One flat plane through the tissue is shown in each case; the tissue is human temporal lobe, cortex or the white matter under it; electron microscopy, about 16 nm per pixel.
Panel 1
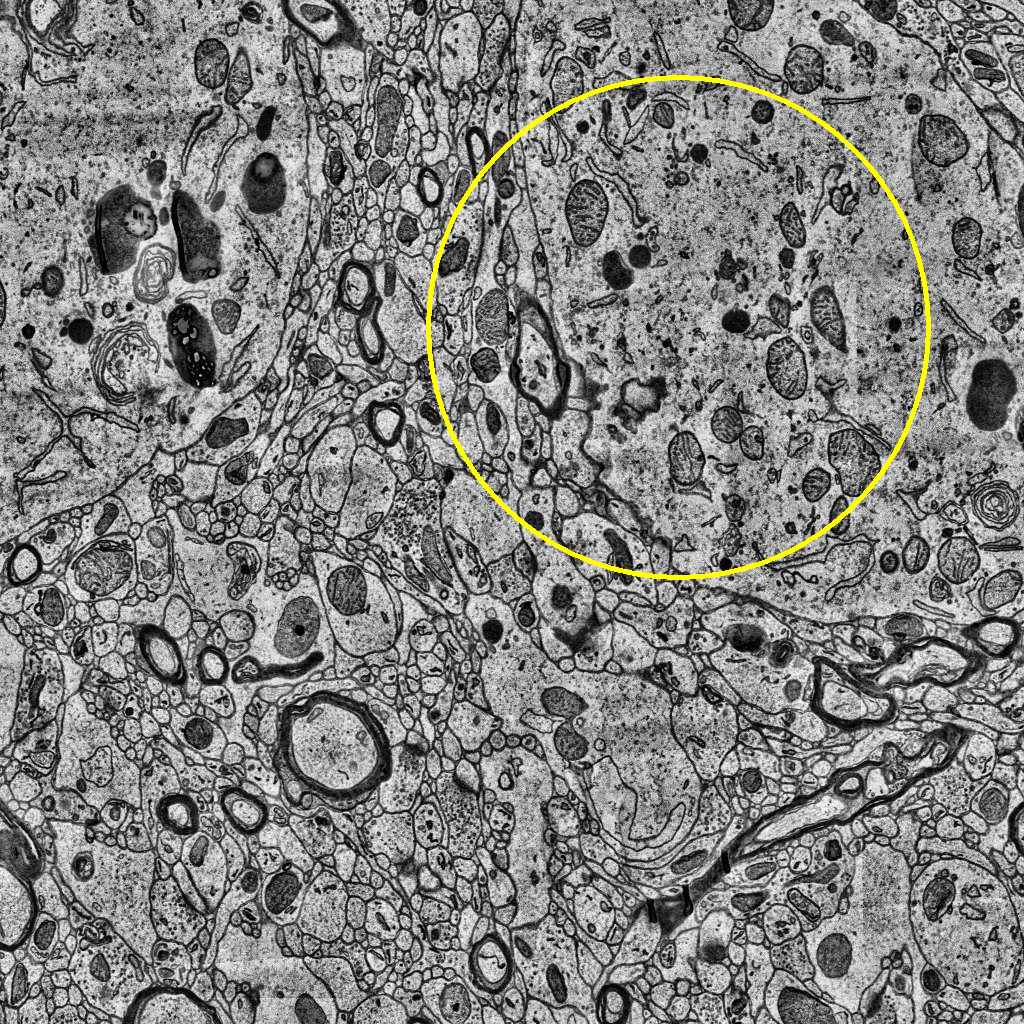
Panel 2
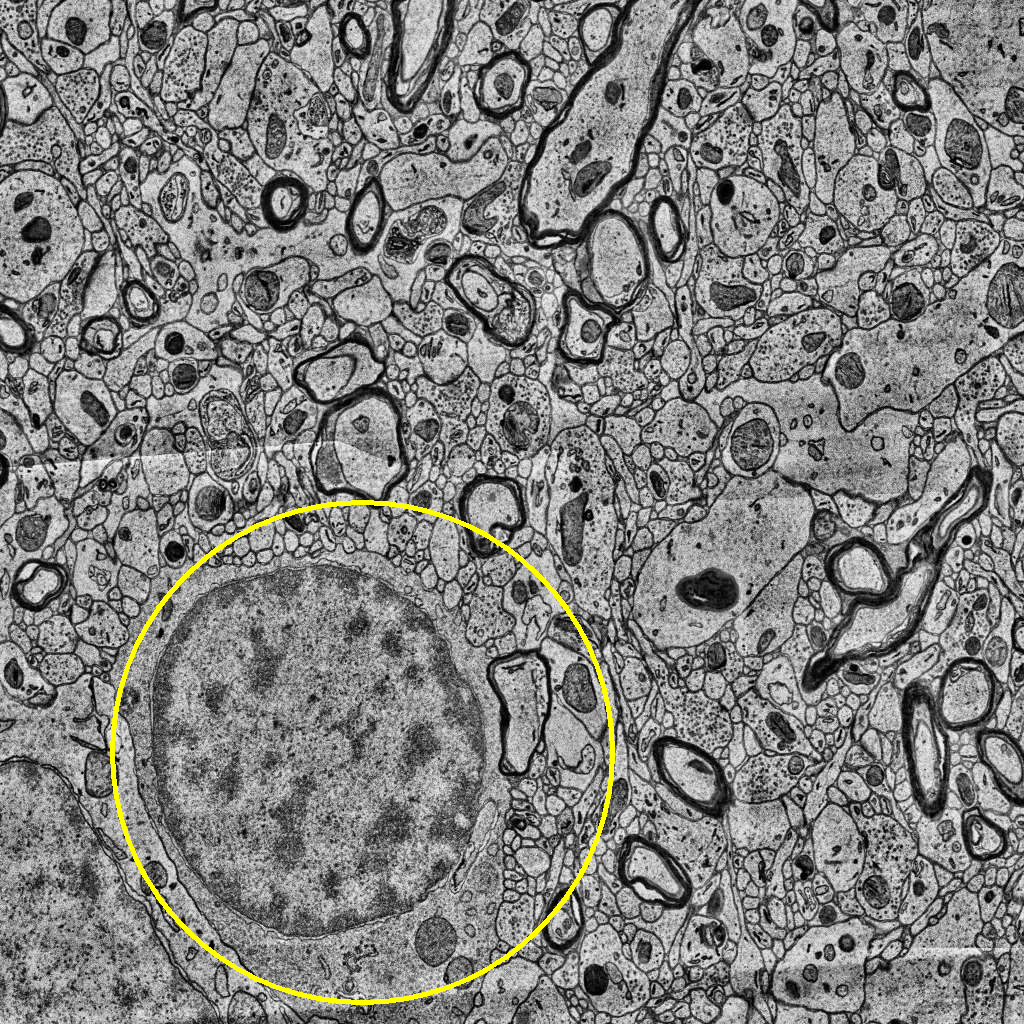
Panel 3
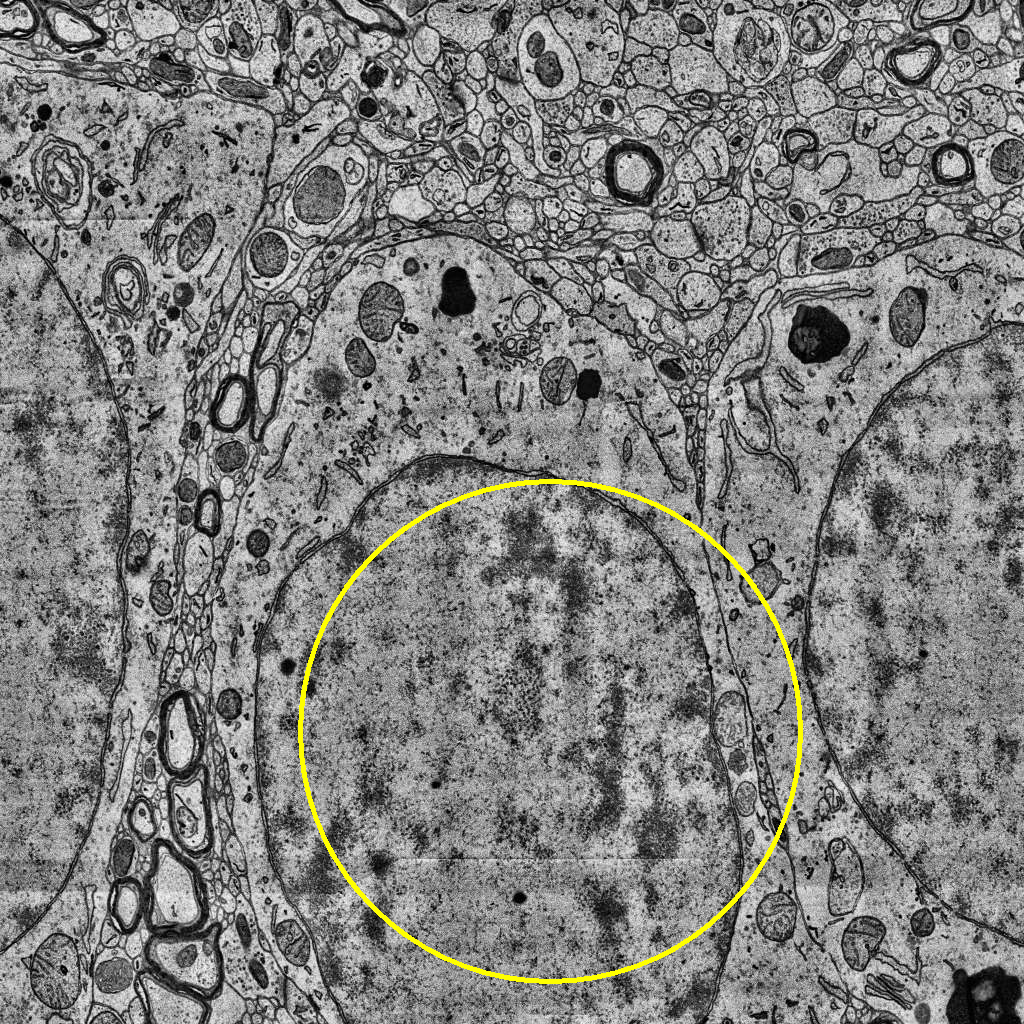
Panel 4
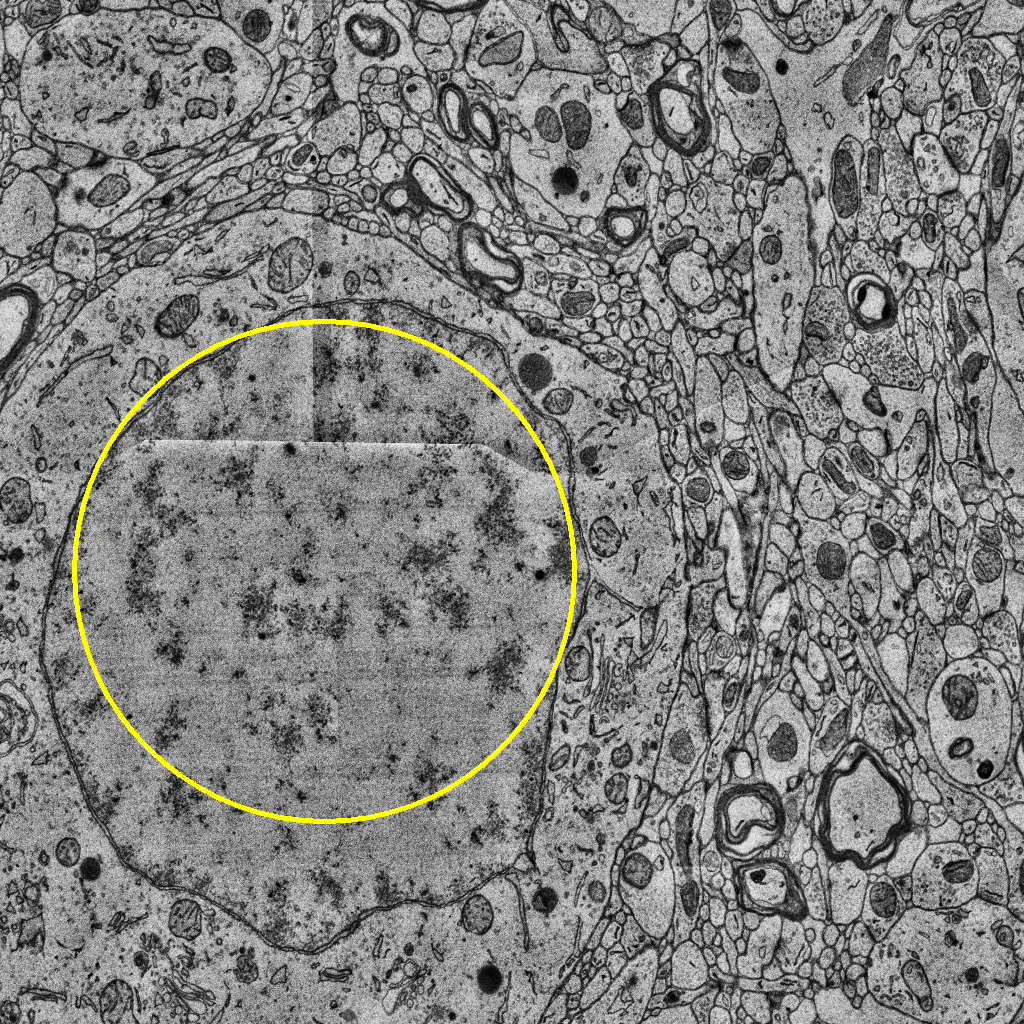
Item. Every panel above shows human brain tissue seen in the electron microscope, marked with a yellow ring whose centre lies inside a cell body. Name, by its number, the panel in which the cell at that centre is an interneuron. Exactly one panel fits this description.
3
